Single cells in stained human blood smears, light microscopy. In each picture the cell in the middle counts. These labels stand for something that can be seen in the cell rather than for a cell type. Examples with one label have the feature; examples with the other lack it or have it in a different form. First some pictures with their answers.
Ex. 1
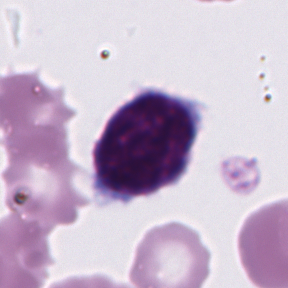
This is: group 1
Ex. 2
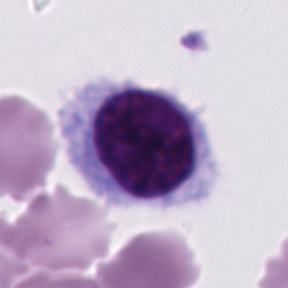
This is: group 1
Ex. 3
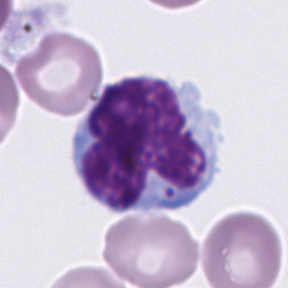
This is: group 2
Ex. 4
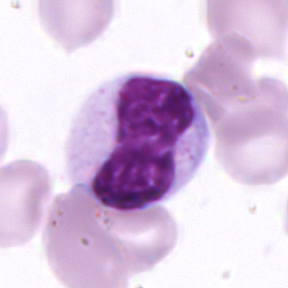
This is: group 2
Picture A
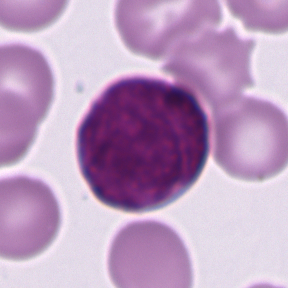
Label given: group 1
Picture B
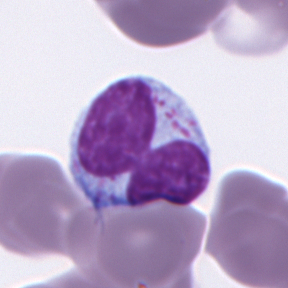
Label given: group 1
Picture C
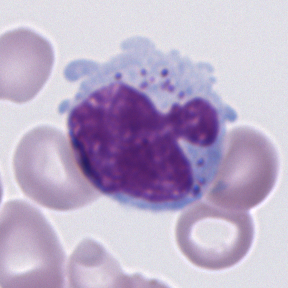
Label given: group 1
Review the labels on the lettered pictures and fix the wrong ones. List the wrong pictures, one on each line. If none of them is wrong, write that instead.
B: change group 1 to group 2
C: change group 1 to group 2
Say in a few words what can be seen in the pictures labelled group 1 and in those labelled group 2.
In group 1: single compact nucleus. In group 2: lobed nucleus.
